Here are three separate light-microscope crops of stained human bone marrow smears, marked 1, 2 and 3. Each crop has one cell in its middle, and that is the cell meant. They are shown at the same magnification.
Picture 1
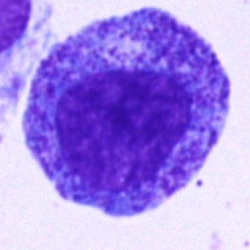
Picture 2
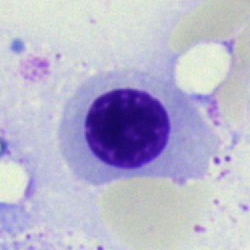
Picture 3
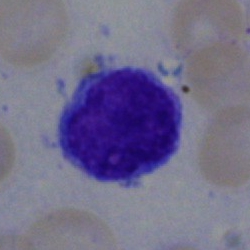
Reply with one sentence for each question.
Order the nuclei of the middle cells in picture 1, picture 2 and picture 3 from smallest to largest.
From the smallest up, the order is 2, 3, 1.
